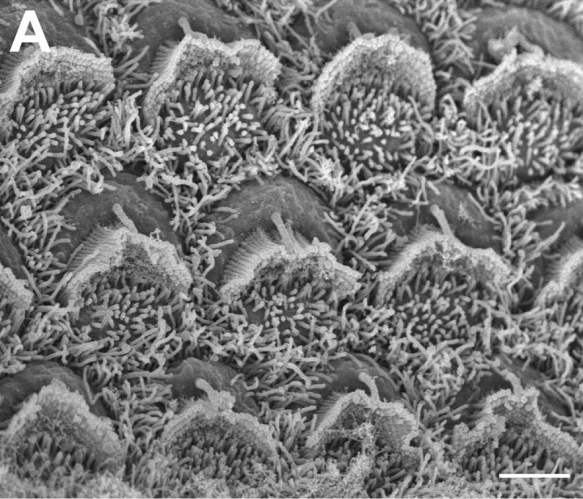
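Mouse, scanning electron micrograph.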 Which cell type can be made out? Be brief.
Outer hair cells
